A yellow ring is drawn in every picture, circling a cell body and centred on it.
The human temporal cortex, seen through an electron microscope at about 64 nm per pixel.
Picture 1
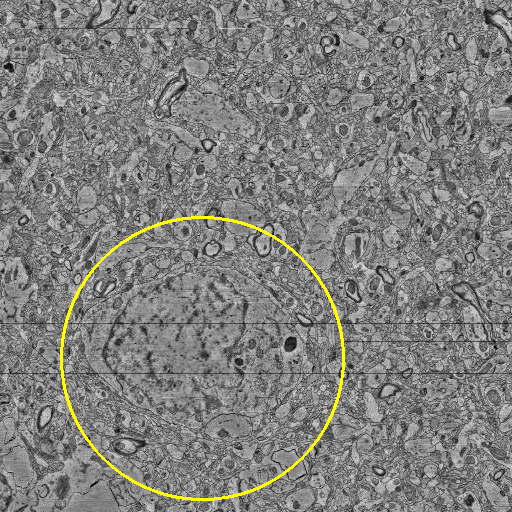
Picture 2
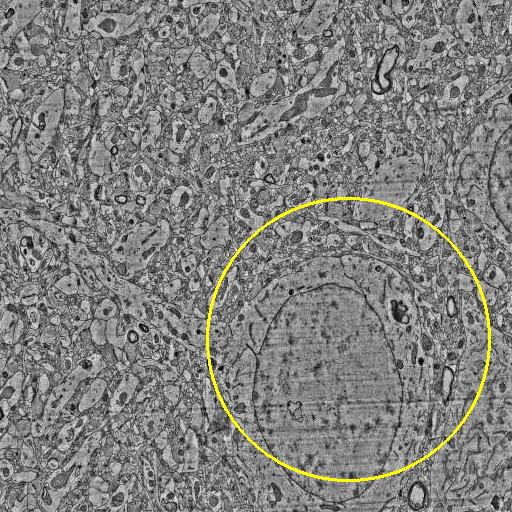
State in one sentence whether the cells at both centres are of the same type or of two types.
The cells at the two ring centres, one per picture, are of two types.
